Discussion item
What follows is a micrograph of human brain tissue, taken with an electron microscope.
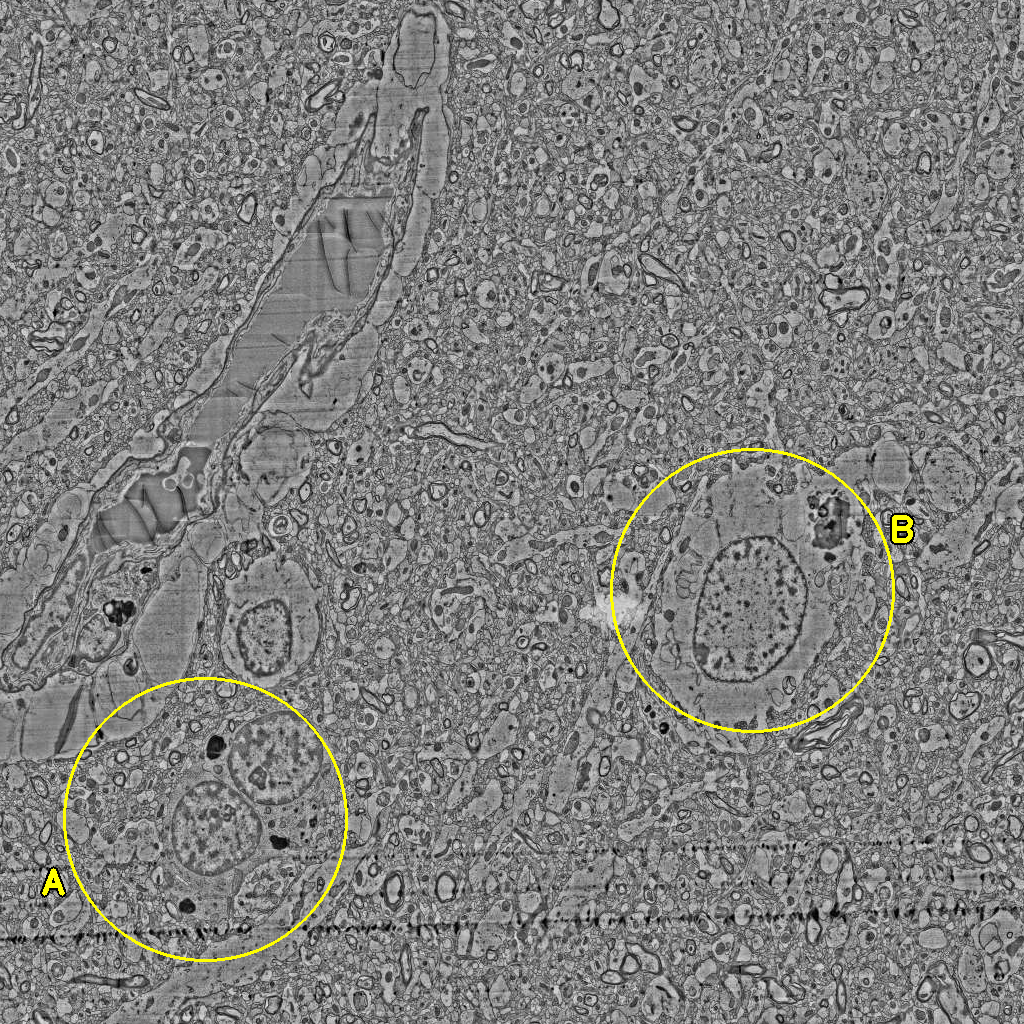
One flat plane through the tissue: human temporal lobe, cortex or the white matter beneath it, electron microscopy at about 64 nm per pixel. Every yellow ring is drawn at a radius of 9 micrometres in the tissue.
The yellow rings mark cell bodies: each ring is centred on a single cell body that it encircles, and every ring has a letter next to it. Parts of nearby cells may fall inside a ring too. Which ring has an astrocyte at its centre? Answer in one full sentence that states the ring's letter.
Ring B is the ring whose centre falls on the cell the question asks about.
